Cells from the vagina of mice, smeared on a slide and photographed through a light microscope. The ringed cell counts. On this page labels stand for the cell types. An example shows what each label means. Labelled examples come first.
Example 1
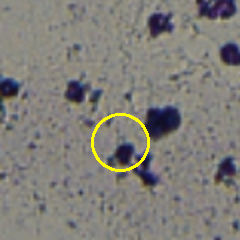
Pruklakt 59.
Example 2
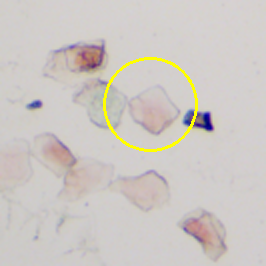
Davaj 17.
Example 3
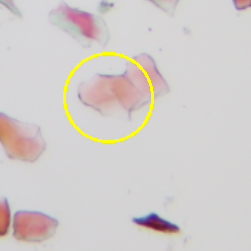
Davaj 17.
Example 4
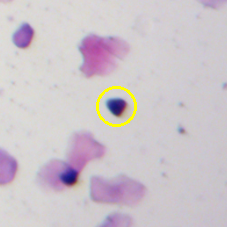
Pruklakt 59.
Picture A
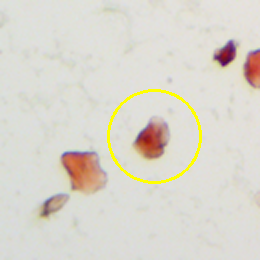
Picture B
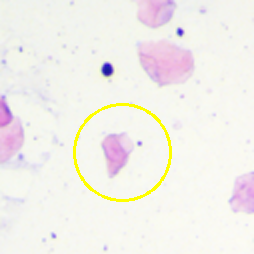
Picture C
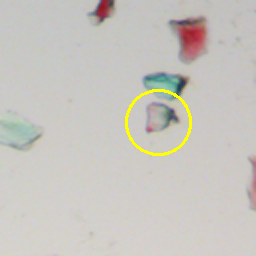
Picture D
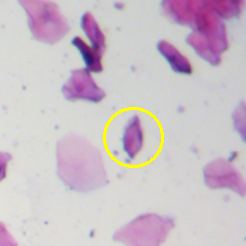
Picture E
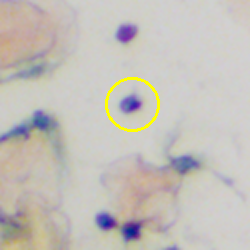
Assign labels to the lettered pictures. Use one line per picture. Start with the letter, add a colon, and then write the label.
A: Davaj 17.
B: Davaj 17.
C: Davaj 17.
D: Davaj 17.
E: Pruklakt 59.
